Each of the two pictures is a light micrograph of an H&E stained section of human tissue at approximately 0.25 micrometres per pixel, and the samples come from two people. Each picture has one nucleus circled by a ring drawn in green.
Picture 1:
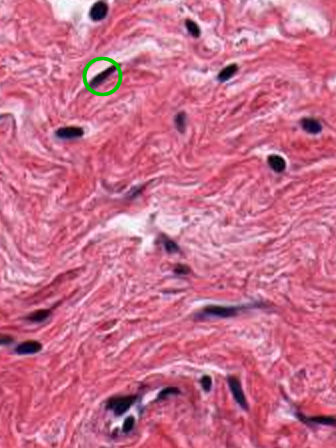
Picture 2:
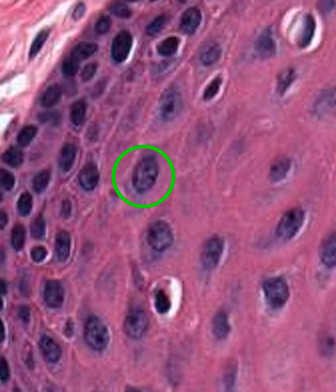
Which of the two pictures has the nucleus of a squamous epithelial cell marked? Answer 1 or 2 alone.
2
